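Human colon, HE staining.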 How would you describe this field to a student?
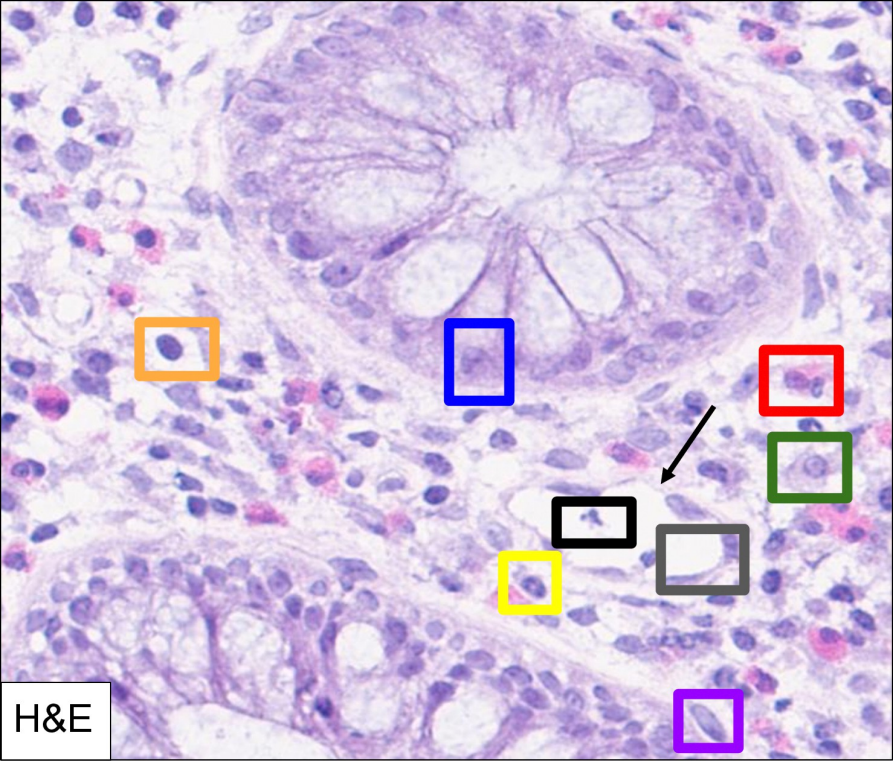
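The crypts are lined by columnar epithelial cells with basal nuclei and many pale, clear mucin vacuoles arranged radially around a central lumen. Between the crypts, the loose stroma holds many inflammatory cells with small round dark-purple nuclei, cells with bright pink cytoplasm, elongated spindle-shaped cells, and a small vessel lined by flattened cells.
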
